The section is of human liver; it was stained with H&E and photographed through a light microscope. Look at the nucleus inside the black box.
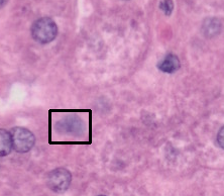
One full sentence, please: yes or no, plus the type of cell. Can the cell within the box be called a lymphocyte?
No, the cell within the box is regarded as an endothelial cell rather than a lymphocyte.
